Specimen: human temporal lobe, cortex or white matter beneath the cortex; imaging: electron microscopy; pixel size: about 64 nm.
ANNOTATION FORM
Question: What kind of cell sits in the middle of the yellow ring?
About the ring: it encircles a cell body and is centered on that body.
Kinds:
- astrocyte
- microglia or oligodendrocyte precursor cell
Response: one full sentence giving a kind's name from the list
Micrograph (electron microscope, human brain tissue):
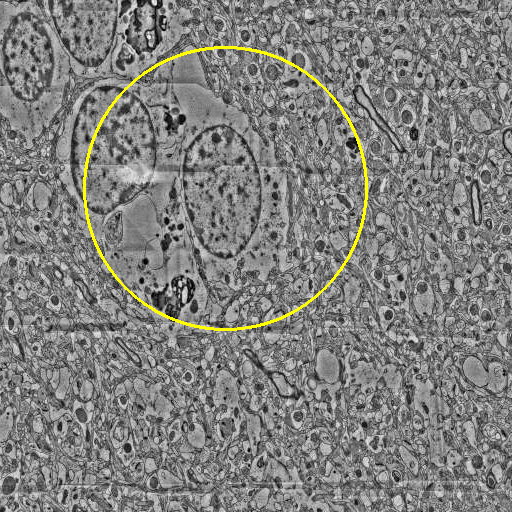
The kind of cell found at the center of the yellow ring in the micrograph is an astrocyte.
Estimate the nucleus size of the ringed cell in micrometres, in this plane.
About 8 by 5 micrometres, the nucleus being clearly longer than it is wide in this plane.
